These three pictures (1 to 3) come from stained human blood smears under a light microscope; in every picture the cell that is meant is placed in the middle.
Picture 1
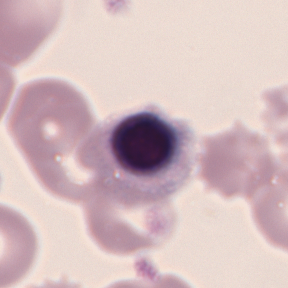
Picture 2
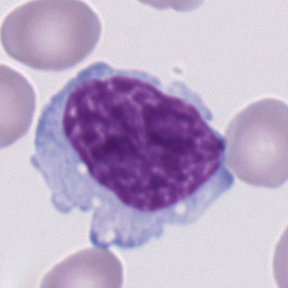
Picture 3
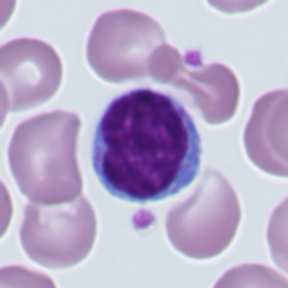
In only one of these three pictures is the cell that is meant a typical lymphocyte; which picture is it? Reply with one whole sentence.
The typical lymphocyte is the one in picture 3.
